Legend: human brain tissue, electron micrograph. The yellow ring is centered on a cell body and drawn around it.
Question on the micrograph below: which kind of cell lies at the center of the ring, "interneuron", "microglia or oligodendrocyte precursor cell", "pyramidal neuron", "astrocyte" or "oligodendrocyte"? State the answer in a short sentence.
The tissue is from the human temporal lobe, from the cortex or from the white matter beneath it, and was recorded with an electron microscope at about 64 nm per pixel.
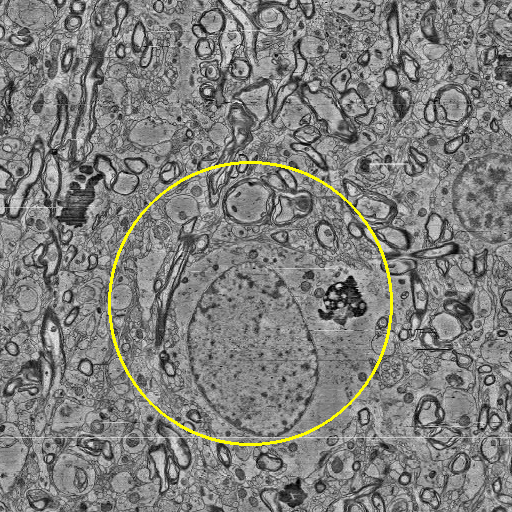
At the center of the ring lies an astrocyte.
